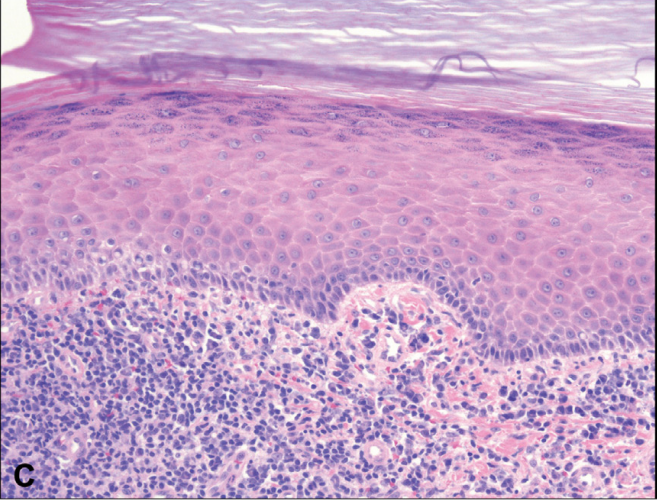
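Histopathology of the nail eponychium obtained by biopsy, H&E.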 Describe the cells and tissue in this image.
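Below the cornified layer, the upper keratinocytes carry dark purple granules, and beneath them lie broad layers of polygonal keratinocytes with pale pink cytoplasm and small round nuclei. The basal cells form a darker row along an undulating border. Directly under this border, the dermis is packed with a dense band of small lymphocytes with round dark-purple nuclei, among small blood vessels.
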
